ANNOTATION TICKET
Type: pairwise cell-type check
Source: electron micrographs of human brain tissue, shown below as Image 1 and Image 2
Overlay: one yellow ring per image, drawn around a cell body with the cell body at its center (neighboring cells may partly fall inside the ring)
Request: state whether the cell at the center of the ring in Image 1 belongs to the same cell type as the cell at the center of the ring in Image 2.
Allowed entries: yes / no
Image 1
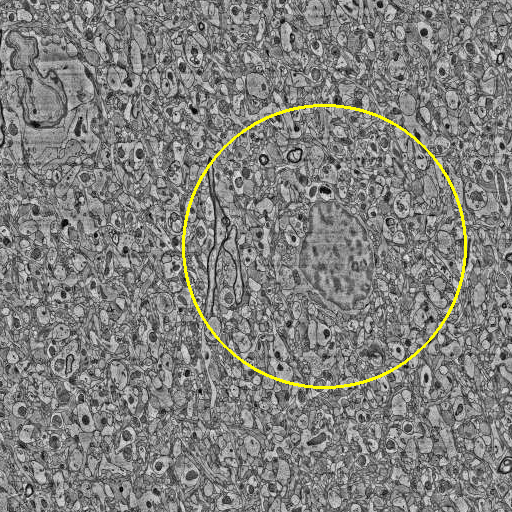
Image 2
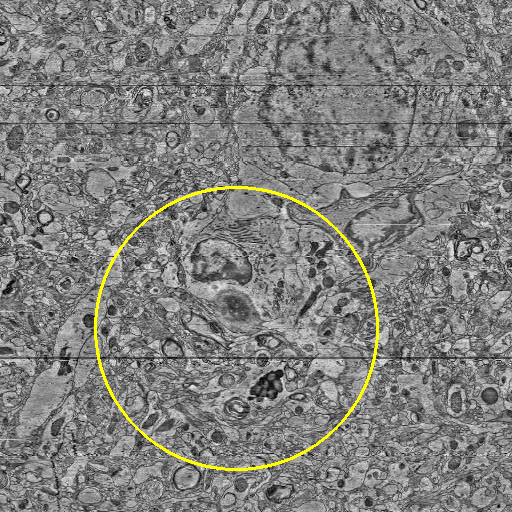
yes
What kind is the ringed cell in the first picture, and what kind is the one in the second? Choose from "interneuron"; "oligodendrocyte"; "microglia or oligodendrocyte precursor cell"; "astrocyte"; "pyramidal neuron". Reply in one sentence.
The ring centre holds an oligodendrocyte in each of the two pictures.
